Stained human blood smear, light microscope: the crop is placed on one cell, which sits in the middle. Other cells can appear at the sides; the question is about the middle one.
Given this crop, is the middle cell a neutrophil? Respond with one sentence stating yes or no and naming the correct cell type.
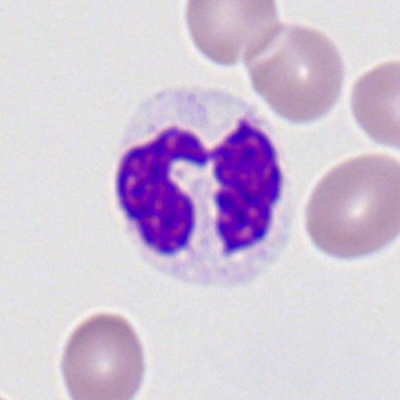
Yes, the cell centred in the field of view is a neutrophil.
